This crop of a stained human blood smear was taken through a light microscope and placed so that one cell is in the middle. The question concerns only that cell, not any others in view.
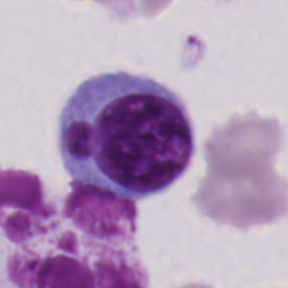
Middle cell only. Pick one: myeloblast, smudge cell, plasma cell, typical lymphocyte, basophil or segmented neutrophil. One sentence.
Located at the centre of the crop is a plasma cell.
